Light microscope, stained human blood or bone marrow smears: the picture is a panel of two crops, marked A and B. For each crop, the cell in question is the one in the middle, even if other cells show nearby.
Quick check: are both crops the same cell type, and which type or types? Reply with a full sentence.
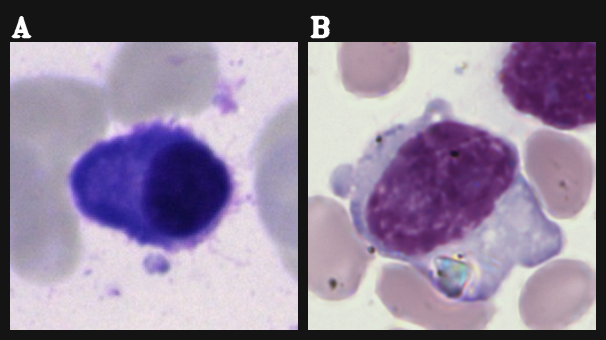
Yes, the cells placed at the centre of both crops are plasma cells.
